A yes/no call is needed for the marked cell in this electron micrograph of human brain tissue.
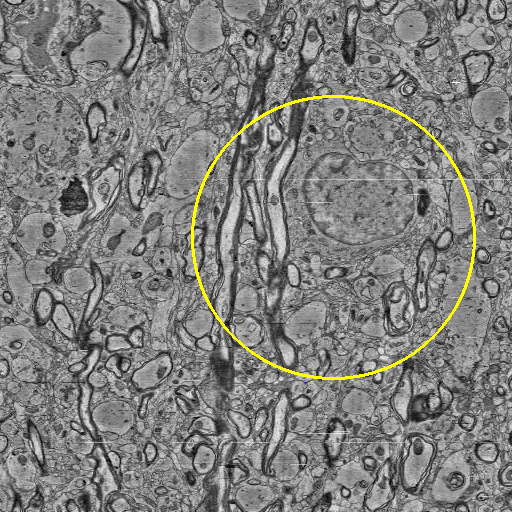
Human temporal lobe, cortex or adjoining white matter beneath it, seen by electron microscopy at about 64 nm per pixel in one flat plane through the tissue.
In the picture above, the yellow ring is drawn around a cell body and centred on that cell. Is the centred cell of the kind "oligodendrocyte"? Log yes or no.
yes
